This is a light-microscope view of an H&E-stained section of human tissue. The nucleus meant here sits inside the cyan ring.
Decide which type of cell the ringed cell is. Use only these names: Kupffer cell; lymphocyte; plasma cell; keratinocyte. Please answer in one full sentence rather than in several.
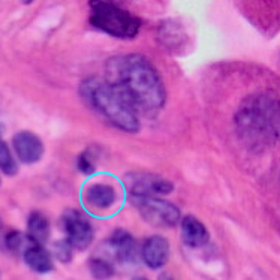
Within the stained tissue, the ringed cell is a lymphocyte.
